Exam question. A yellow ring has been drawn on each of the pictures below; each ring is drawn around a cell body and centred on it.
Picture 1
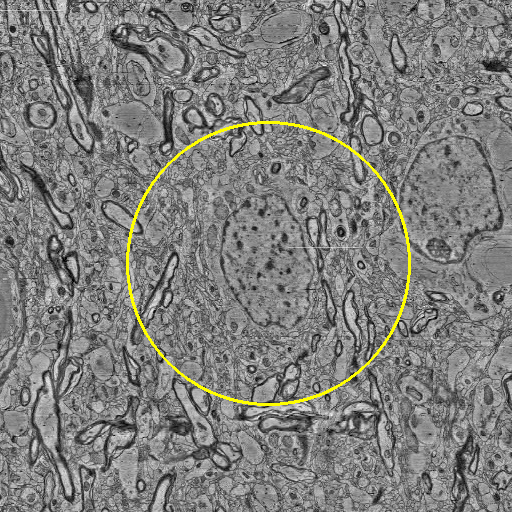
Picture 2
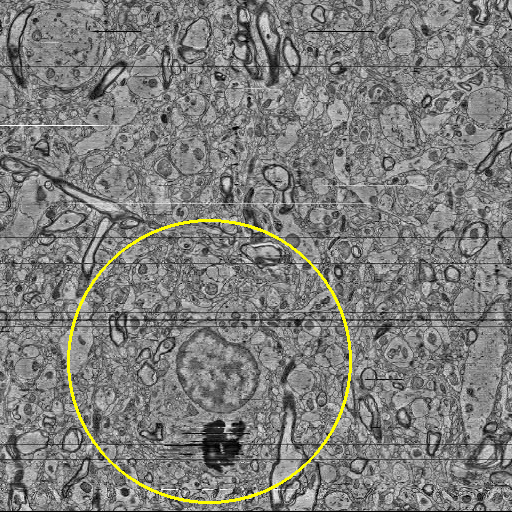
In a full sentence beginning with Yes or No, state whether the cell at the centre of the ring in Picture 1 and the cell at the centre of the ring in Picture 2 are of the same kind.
No, the cells are of two kinds.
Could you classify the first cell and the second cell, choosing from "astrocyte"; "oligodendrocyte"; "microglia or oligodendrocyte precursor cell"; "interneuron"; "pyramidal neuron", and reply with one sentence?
The second cell is an oligodendrocyte, while the first is an astrocyte.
